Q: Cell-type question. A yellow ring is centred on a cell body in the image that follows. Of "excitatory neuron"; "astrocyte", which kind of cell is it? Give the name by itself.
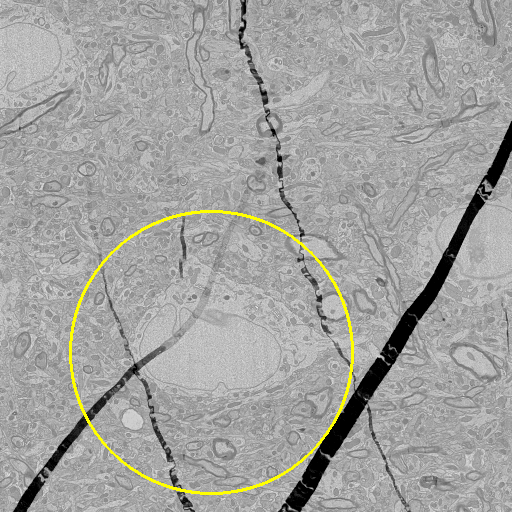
excitatory neuron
